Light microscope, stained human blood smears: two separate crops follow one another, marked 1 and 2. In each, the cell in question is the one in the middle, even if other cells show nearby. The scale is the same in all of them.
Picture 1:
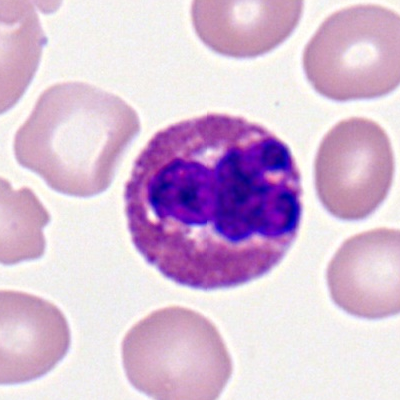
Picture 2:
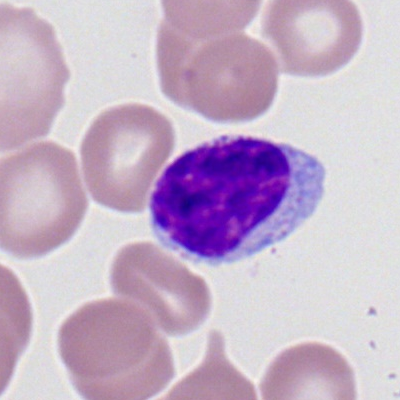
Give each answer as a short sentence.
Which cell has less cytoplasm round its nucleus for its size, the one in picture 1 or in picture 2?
The nucleus fills more of the cell in picture 2 than in picture 1.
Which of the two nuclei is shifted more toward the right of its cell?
Seen within its cell, the nucleus in picture 1 lies further toward the right.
